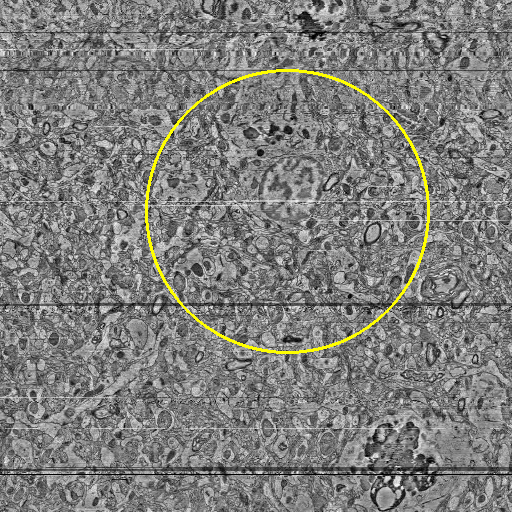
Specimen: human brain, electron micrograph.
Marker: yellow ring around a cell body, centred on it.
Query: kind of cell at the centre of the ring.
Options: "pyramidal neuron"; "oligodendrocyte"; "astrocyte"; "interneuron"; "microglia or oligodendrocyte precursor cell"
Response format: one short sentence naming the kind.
This cell body belongs to an oligodendrocyte.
